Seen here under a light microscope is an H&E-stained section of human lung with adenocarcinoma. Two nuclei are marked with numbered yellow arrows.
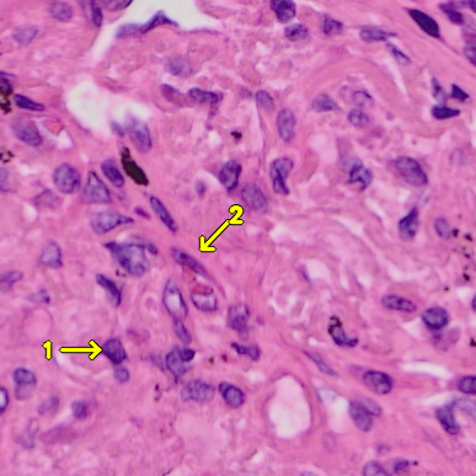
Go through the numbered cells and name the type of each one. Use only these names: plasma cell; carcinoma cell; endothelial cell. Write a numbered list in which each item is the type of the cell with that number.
1. plasma cell
2. endothelial cell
